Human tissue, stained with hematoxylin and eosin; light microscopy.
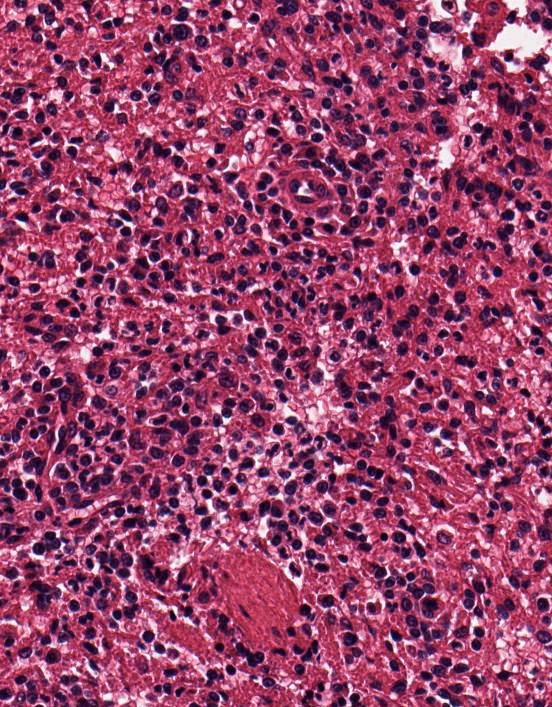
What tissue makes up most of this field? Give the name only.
red pulp of the spleen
